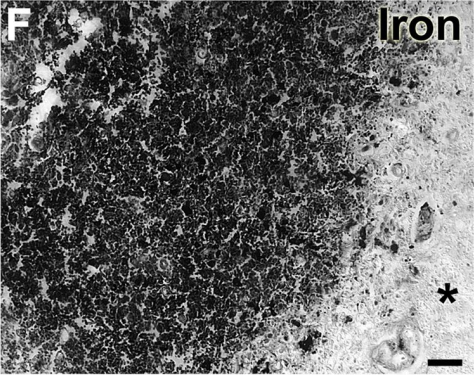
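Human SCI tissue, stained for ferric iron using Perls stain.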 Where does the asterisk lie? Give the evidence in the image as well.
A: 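Adjacent spared tissue. The asterisk lies in pale tissue at the right edge. The tissue at the asterisk lacks the dense dark deposits filling the left of the panel.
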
